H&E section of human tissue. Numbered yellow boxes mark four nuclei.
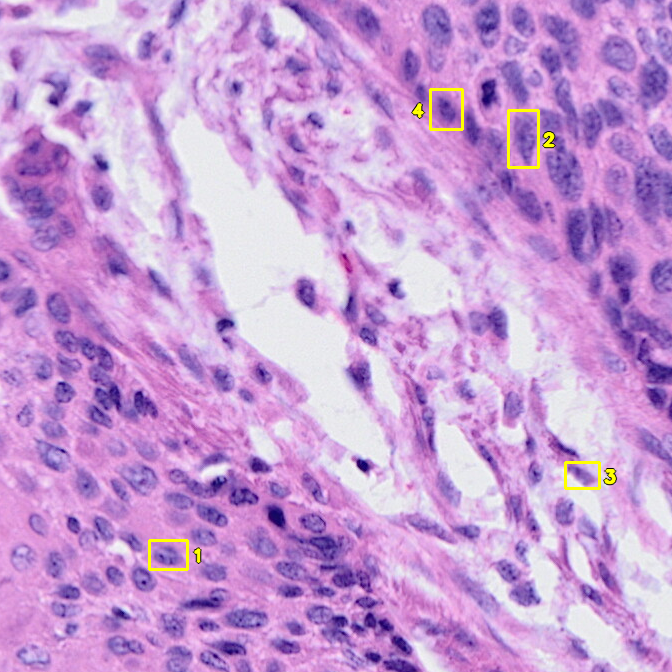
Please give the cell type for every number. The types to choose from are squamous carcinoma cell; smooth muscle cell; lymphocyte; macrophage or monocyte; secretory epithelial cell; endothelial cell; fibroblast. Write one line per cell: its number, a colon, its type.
1: squamous carcinoma cell
2: squamous carcinoma cell
3: fibroblast
4: squamous carcinoma cell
